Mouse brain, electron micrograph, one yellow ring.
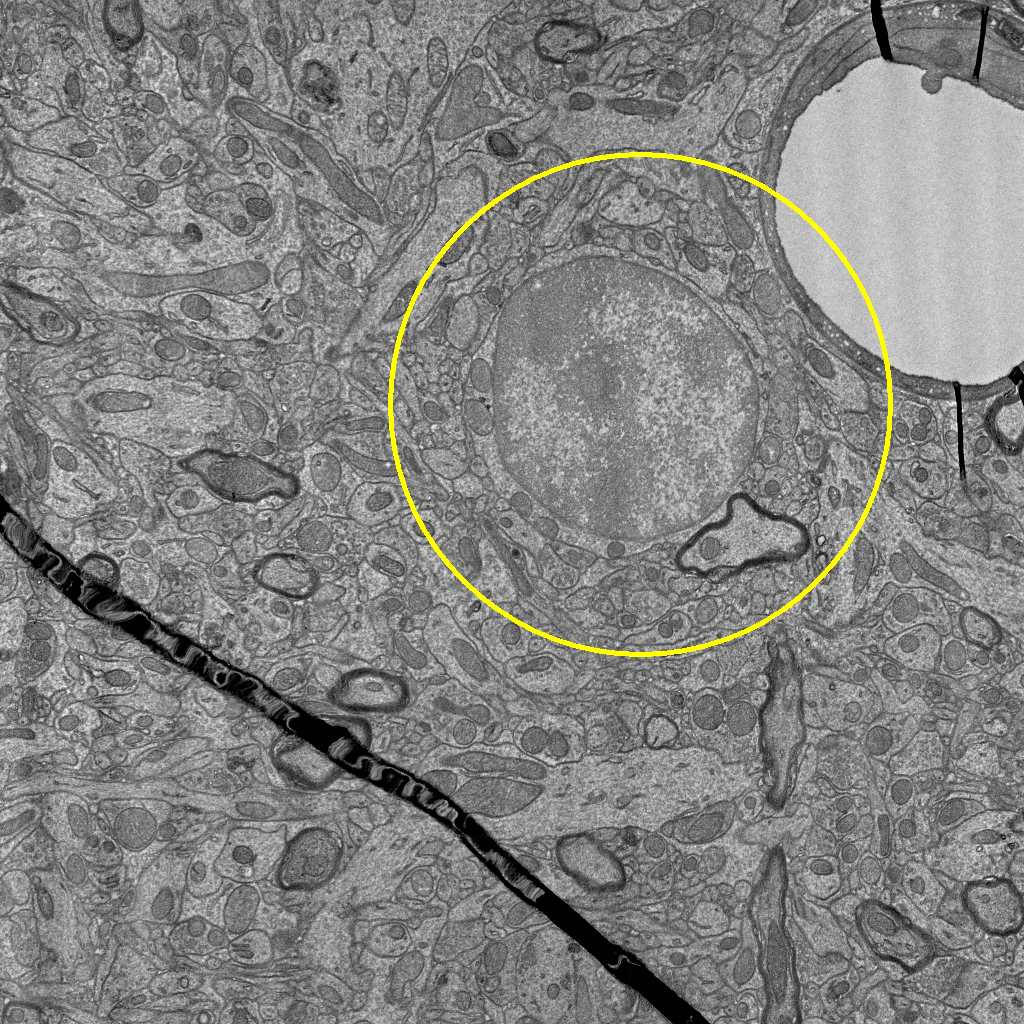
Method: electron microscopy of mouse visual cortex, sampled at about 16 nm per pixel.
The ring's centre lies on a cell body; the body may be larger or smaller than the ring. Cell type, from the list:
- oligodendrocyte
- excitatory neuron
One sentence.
The yellow ring's centre lies on an oligodendrocyte.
